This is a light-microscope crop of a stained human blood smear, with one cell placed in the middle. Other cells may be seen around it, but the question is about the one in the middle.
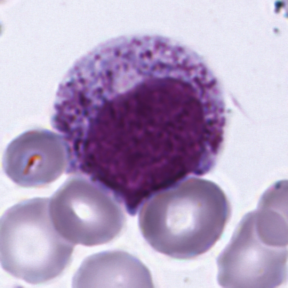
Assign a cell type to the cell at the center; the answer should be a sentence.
The cell that lies at the centre of the crop is a myelocyte.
